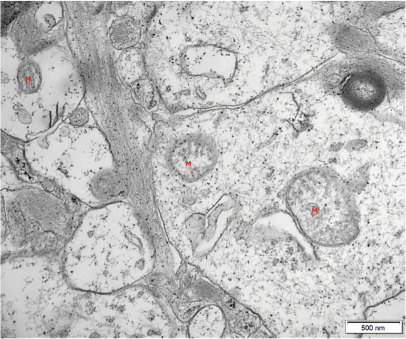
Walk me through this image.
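A band of densely packed parallel filaments runs from top to bottom, surrounded by pale, membrane-bound compartments. A few small, rounded mitochondria with internal cristae lie scattered in the pale cytoplasm.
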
